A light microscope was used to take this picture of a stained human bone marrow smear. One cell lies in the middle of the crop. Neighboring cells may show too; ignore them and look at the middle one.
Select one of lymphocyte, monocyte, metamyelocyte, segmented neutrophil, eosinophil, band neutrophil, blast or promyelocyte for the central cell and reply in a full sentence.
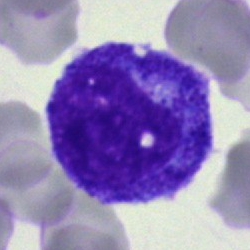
The central element of this crop is a cell, namely a promyelocyte.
